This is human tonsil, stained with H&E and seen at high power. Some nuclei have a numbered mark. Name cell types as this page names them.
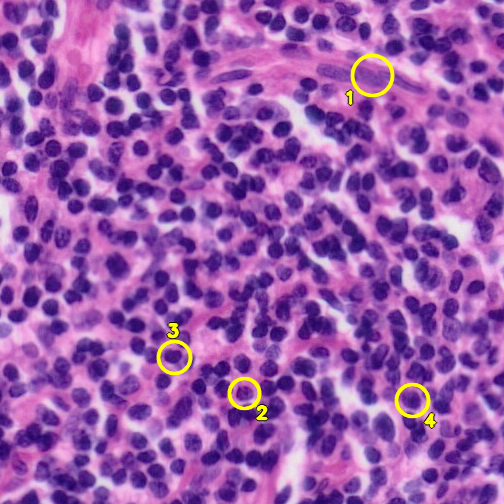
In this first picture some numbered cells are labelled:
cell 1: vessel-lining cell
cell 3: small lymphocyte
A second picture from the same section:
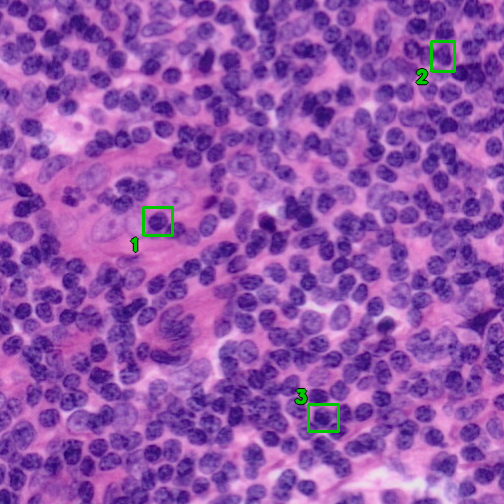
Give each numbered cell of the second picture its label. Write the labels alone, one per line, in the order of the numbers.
vessel-lining cell
small lymphocyte
small lymphocyte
